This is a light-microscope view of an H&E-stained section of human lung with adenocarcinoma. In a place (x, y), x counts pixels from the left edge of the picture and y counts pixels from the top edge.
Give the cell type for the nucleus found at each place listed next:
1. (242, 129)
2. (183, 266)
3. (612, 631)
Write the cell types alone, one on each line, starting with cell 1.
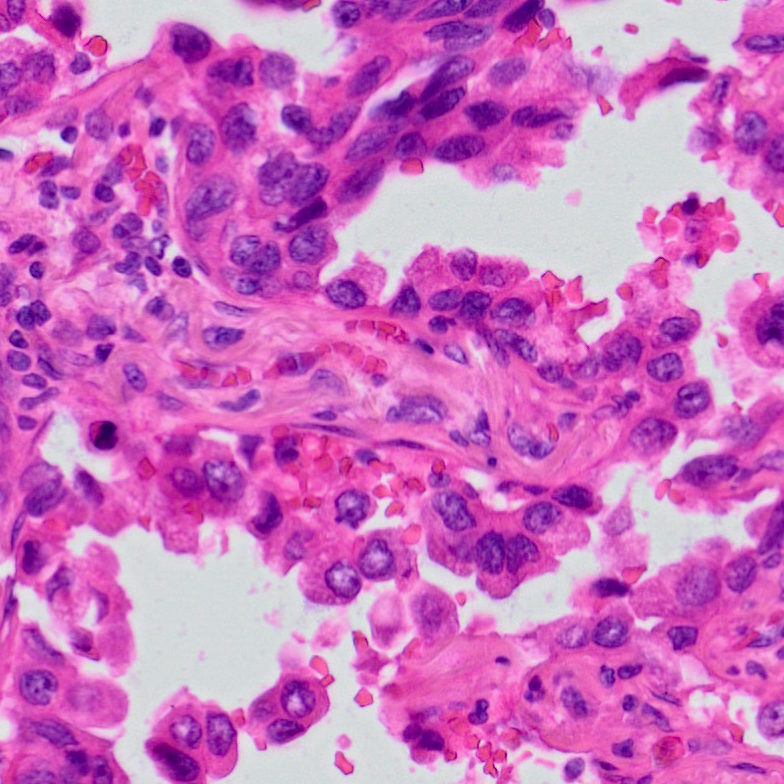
carcinoma cell
lymphocyte
carcinoma cell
